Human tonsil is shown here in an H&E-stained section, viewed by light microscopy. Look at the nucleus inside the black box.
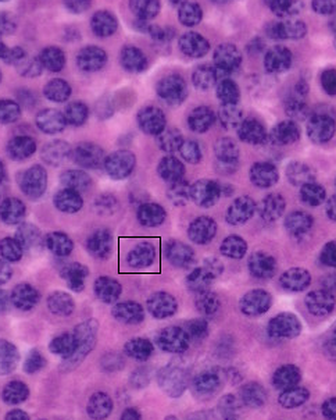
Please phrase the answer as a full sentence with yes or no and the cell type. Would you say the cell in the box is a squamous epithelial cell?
No, the cell in the box is reported as a plasma cell rather than a squamous epithelial cell.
